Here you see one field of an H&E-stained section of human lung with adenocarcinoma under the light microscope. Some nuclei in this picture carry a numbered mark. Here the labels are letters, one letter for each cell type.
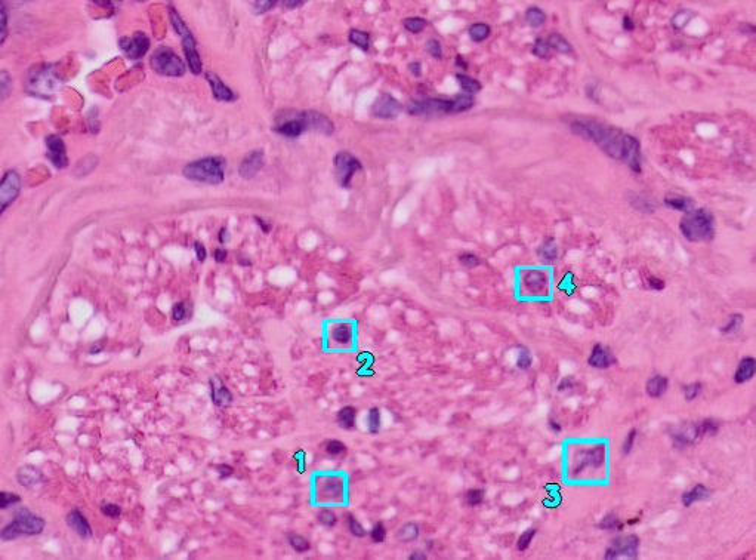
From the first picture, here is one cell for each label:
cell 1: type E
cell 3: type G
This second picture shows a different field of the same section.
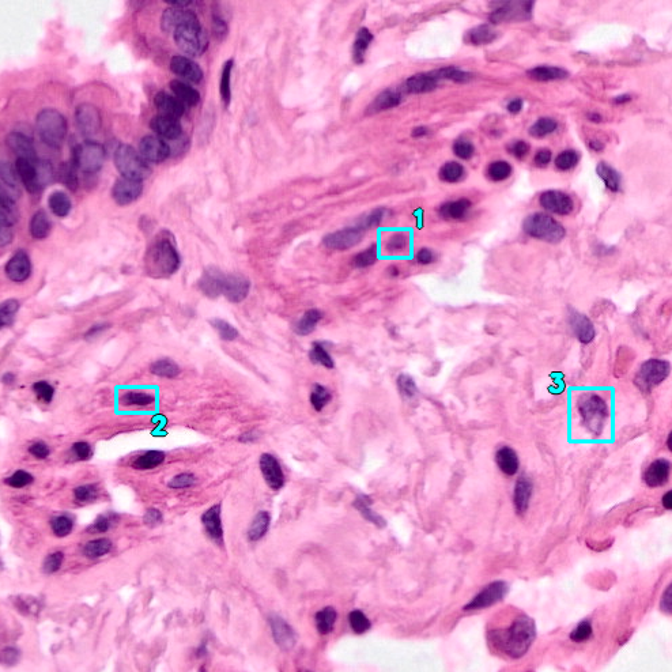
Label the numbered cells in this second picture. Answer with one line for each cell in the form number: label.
1: type E
2: type E
3: type G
